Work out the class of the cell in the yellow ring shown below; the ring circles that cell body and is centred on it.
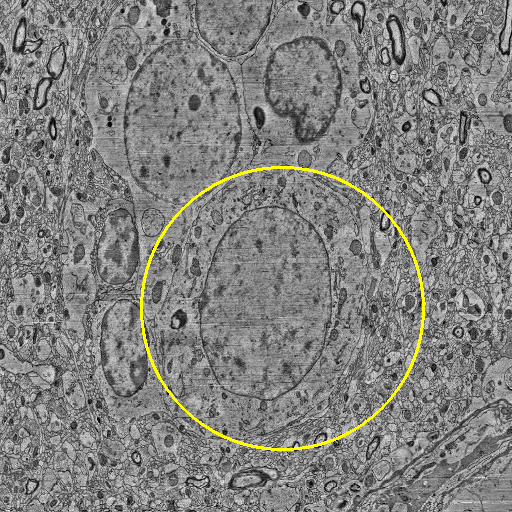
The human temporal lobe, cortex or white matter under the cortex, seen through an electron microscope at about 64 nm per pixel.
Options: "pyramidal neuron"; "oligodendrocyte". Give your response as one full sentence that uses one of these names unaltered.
The body ringed in yellow, right at the ring's centre, is that of a pyramidal neuron.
